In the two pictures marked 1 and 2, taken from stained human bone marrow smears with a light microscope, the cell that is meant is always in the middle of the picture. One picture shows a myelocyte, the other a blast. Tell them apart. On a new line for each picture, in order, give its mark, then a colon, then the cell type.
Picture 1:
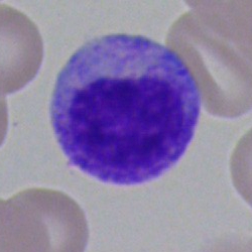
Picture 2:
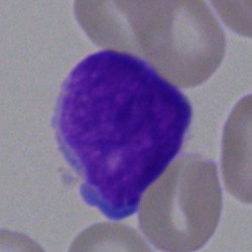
1: myelocyte
2: blast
